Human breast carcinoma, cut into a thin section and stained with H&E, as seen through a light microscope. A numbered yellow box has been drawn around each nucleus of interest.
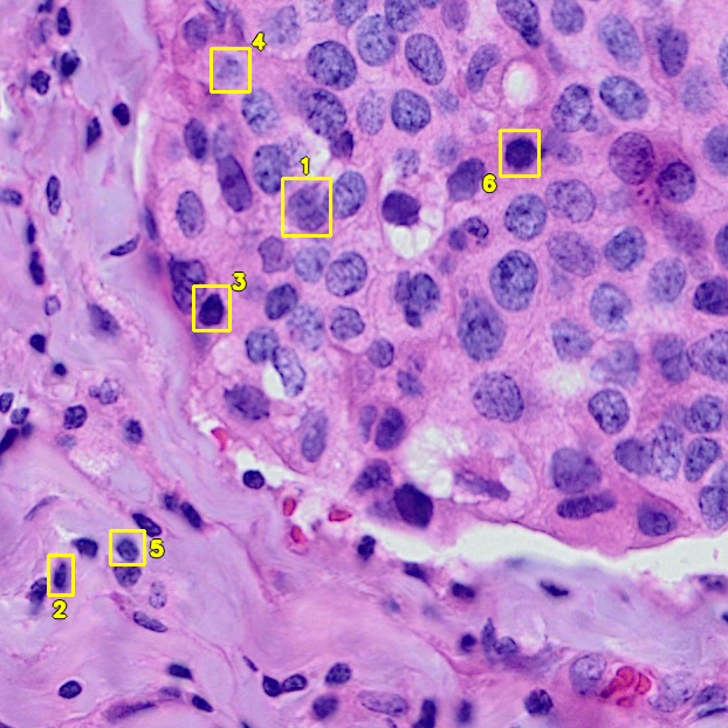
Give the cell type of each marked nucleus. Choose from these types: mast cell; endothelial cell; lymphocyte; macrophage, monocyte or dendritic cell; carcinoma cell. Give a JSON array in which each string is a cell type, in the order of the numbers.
["carcinoma cell", "lymphocyte", "carcinoma cell", "carcinoma cell", "lymphocyte", "carcinoma cell"]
